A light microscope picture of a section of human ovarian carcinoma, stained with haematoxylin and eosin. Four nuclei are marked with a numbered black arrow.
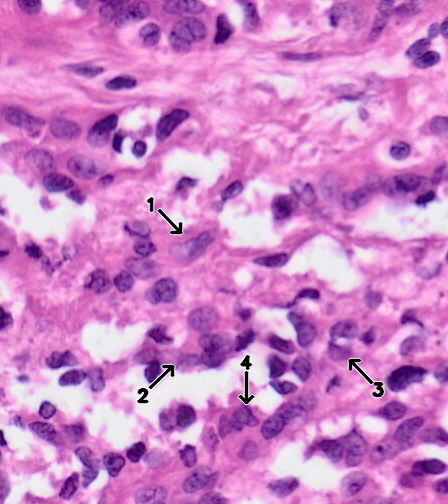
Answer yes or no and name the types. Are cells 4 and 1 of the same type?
No, with respect, cell 4 is a carcinoma cell and cell 1 is an endothelial cell.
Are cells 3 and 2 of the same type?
Yes, each of the two cells, 3 and 2, is among the carcinoma cells.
